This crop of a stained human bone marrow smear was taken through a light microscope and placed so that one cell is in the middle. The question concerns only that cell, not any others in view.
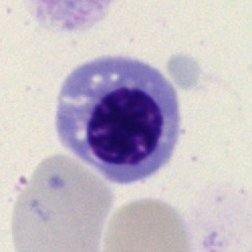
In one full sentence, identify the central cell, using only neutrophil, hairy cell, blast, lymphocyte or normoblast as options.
The single cell at the center of the crop is a normoblast.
